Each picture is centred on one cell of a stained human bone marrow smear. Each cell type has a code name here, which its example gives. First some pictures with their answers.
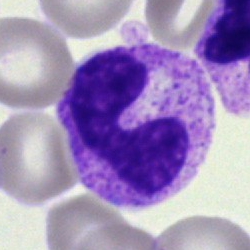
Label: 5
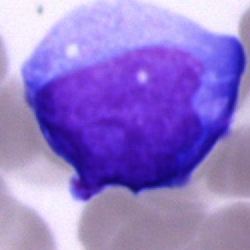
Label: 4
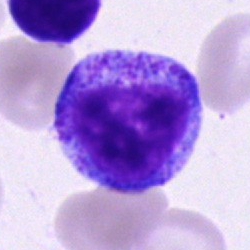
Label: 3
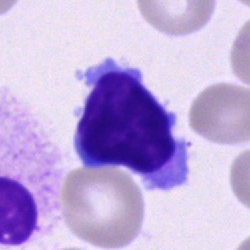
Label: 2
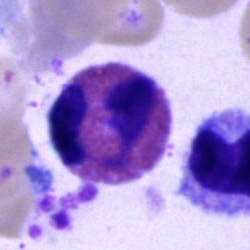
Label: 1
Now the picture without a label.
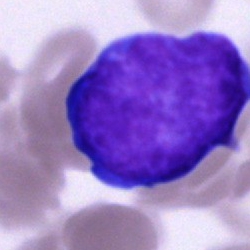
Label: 4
